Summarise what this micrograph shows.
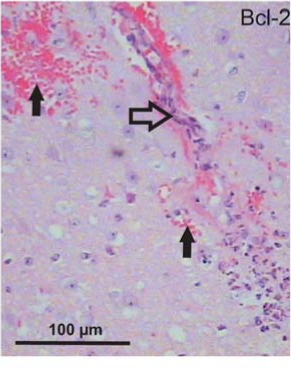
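A pale pink brain parenchyma with scattered neurons and glial nuclei is crossed by a vessel whose wall is thickened and crowded with dark purple nuclei, while masses of small bright red anucleate cells lie free in the surrounding tissue at the upper left and along the vessel. A dense cluster of purple nuclei sits at the lower right. This is inflamed vessel wall, vasculitis, with erythrocytes that have escaped into the brain tissue, pointing to damage of the vessel.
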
